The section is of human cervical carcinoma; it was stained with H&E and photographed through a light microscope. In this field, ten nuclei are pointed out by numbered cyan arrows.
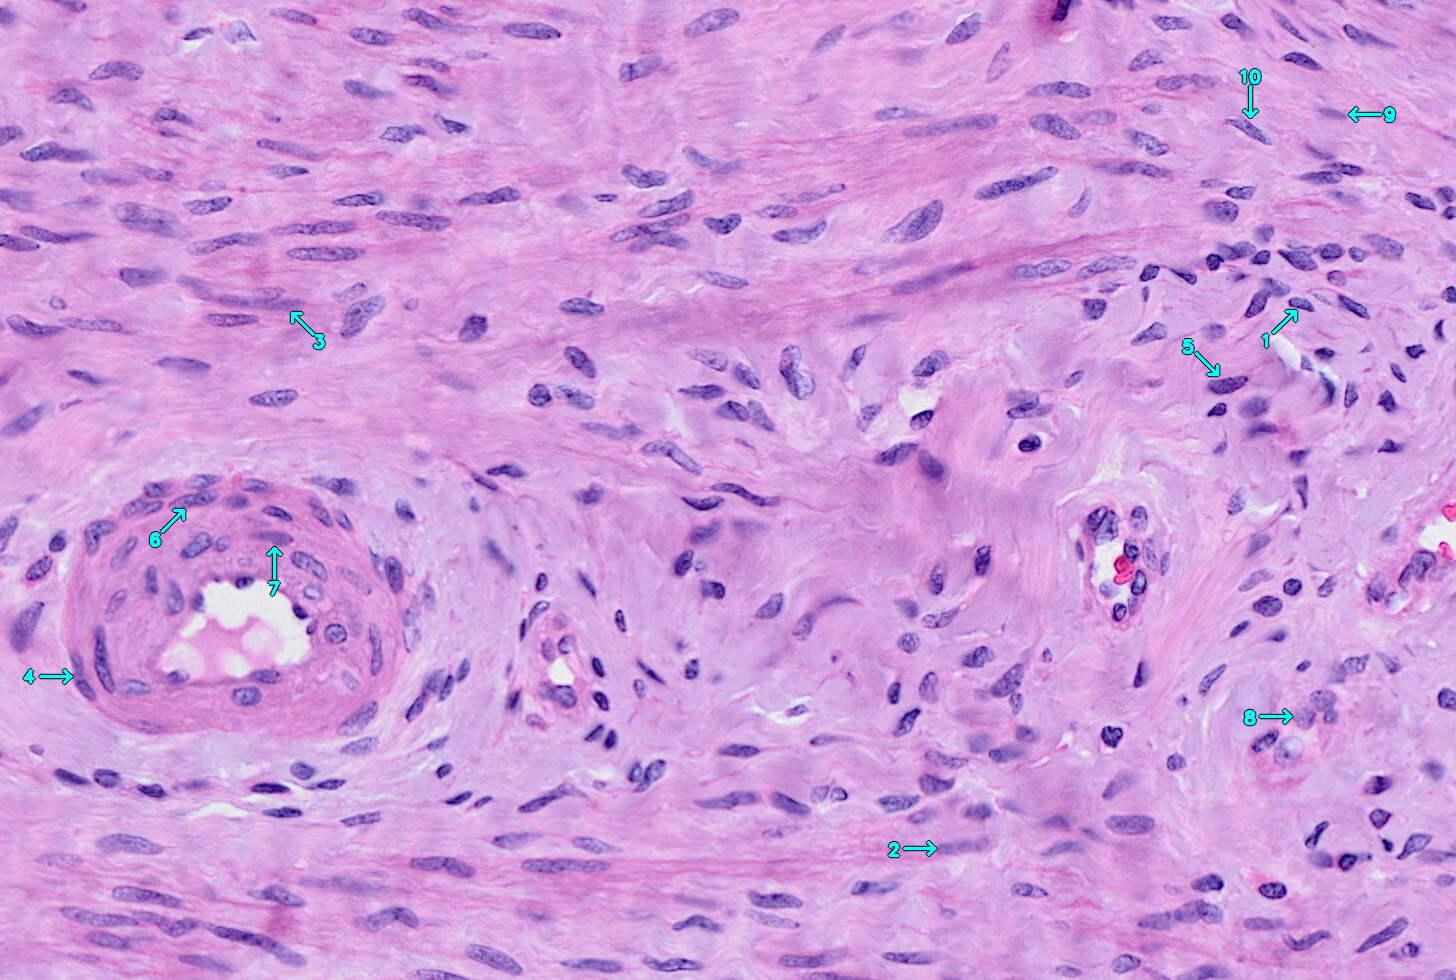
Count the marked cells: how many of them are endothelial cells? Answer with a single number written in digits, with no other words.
1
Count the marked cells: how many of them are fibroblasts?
4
